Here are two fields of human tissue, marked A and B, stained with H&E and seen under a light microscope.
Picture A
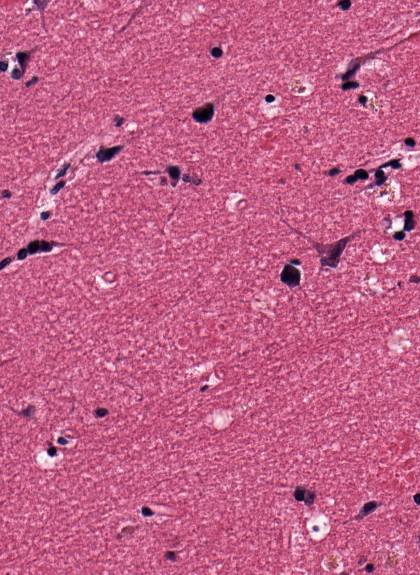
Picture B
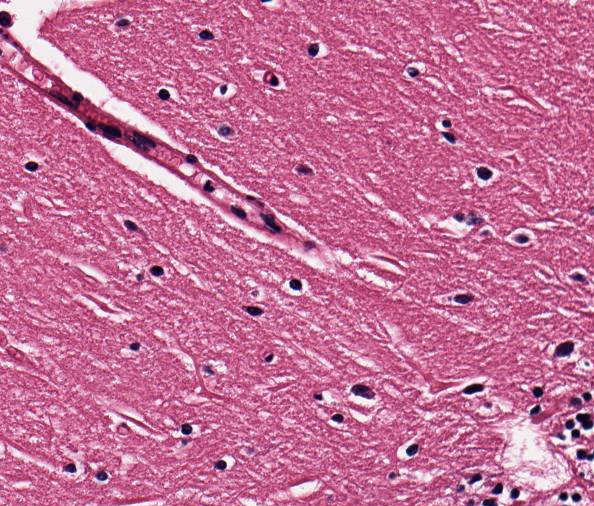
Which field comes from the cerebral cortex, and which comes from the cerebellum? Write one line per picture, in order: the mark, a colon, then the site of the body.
A: cerebral cortex
B: cerebellum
